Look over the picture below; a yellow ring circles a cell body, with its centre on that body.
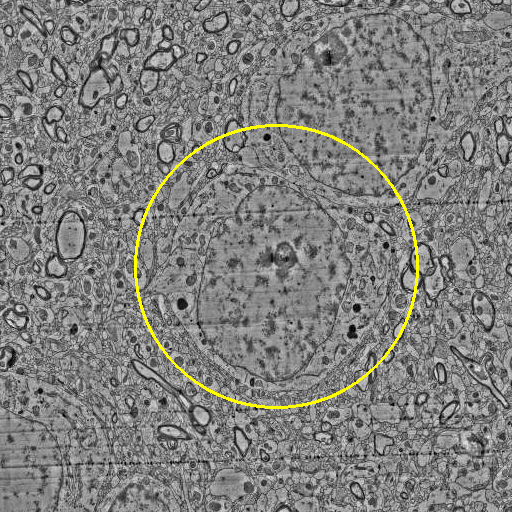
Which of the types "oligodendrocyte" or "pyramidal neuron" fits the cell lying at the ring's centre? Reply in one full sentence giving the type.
The picture shows a pyramidal neuron at the centre of the yellow ring.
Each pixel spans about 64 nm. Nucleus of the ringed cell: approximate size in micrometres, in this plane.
In this plane, roughly 13 by 11 micrometres.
